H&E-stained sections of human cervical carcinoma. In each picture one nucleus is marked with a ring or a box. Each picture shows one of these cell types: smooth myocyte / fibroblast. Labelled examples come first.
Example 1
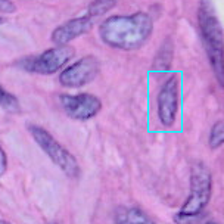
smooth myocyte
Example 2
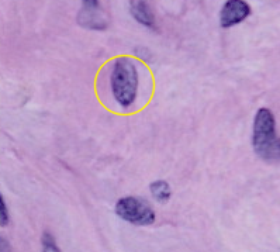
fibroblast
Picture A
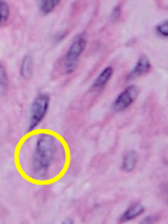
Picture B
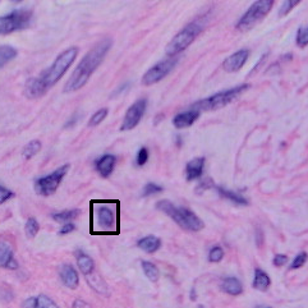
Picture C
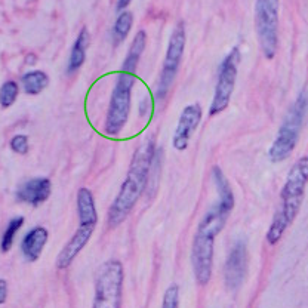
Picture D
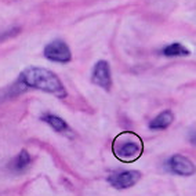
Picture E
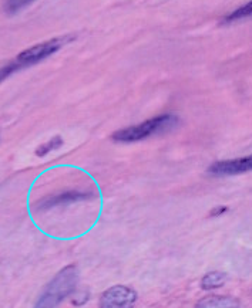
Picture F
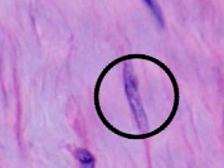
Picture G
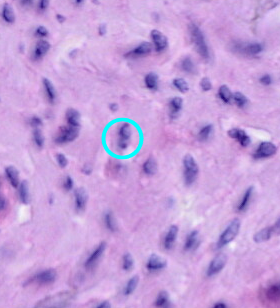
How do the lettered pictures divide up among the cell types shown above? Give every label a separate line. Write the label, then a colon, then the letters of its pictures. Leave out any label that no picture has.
smooth myocyte: A, B, C, D
fibroblast: E, F, G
